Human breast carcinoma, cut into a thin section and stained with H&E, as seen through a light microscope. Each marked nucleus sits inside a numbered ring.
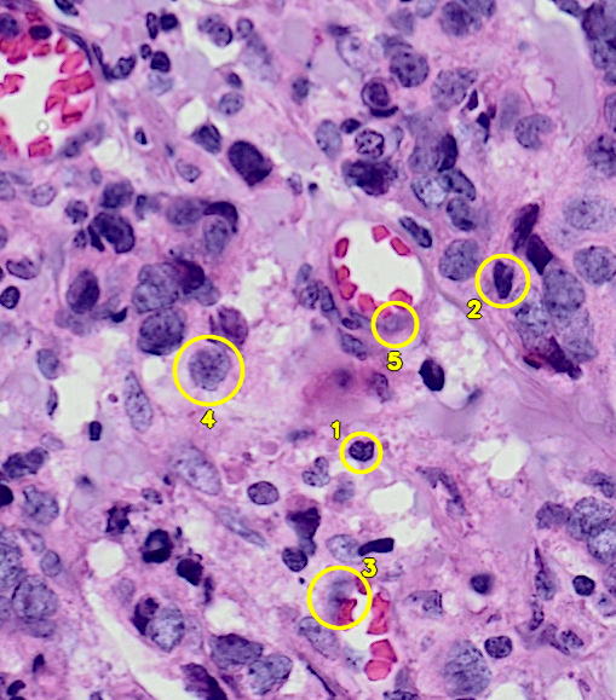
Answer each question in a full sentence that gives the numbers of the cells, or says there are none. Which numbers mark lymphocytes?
Only nucleus 1 belongs to a lymphocyte; the other numbered nuclei do not.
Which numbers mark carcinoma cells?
The cells labelled 2 and 4 in this section are carcinoma cells.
